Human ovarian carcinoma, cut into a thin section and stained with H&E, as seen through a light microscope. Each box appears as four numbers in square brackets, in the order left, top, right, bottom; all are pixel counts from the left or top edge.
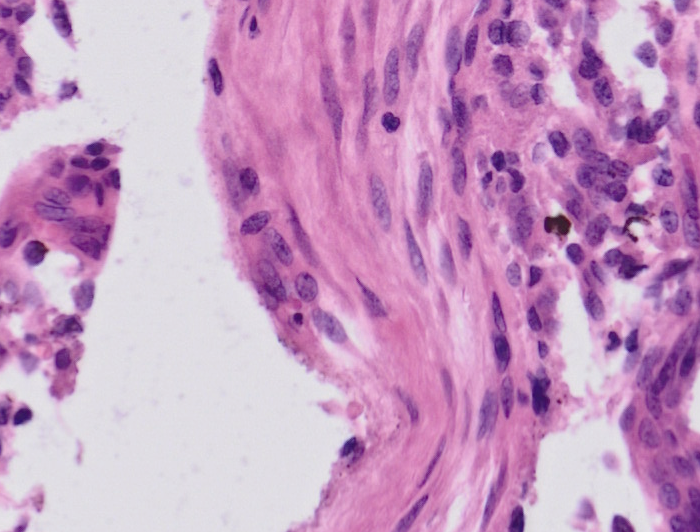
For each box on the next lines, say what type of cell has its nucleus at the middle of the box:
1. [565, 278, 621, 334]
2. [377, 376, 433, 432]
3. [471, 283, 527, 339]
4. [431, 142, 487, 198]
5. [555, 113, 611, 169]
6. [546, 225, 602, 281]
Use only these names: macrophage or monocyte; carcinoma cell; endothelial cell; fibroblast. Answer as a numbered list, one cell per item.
1. carcinoma cell
2. fibroblast
3. endothelial cell
4. endothelial cell
5. carcinoma cell
6. carcinoma cell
